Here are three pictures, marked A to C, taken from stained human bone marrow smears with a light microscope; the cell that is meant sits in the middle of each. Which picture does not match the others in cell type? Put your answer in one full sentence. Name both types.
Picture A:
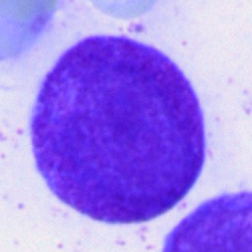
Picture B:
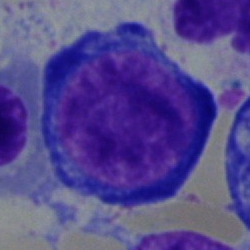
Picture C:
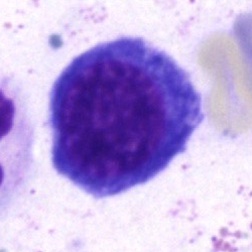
All pictures except A show proerythroblasts; picture A shows a promyelocyte.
